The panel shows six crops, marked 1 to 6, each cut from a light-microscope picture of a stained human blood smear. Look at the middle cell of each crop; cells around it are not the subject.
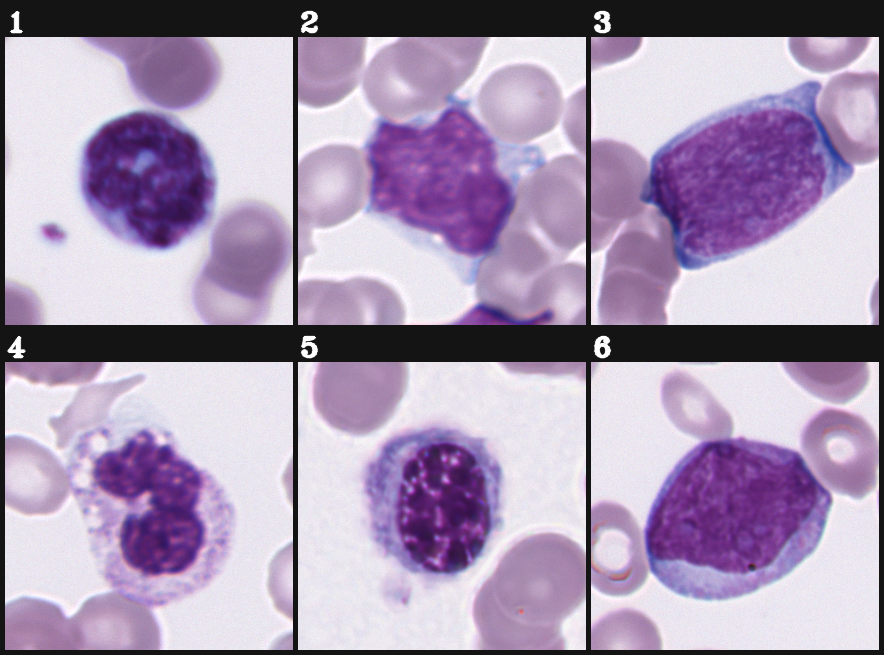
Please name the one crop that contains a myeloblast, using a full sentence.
Crop 3 is the one to choose: it shows a myeloblast.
